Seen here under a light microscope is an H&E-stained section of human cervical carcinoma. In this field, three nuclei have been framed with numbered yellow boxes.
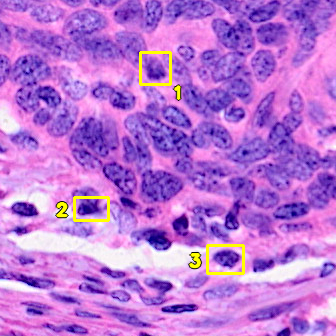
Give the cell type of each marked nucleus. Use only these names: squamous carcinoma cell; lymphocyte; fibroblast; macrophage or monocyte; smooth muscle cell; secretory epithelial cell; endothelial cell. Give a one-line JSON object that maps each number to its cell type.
{"1": "squamous carcinoma cell", "2": "lymphocyte", "3": "lymphocyte"}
